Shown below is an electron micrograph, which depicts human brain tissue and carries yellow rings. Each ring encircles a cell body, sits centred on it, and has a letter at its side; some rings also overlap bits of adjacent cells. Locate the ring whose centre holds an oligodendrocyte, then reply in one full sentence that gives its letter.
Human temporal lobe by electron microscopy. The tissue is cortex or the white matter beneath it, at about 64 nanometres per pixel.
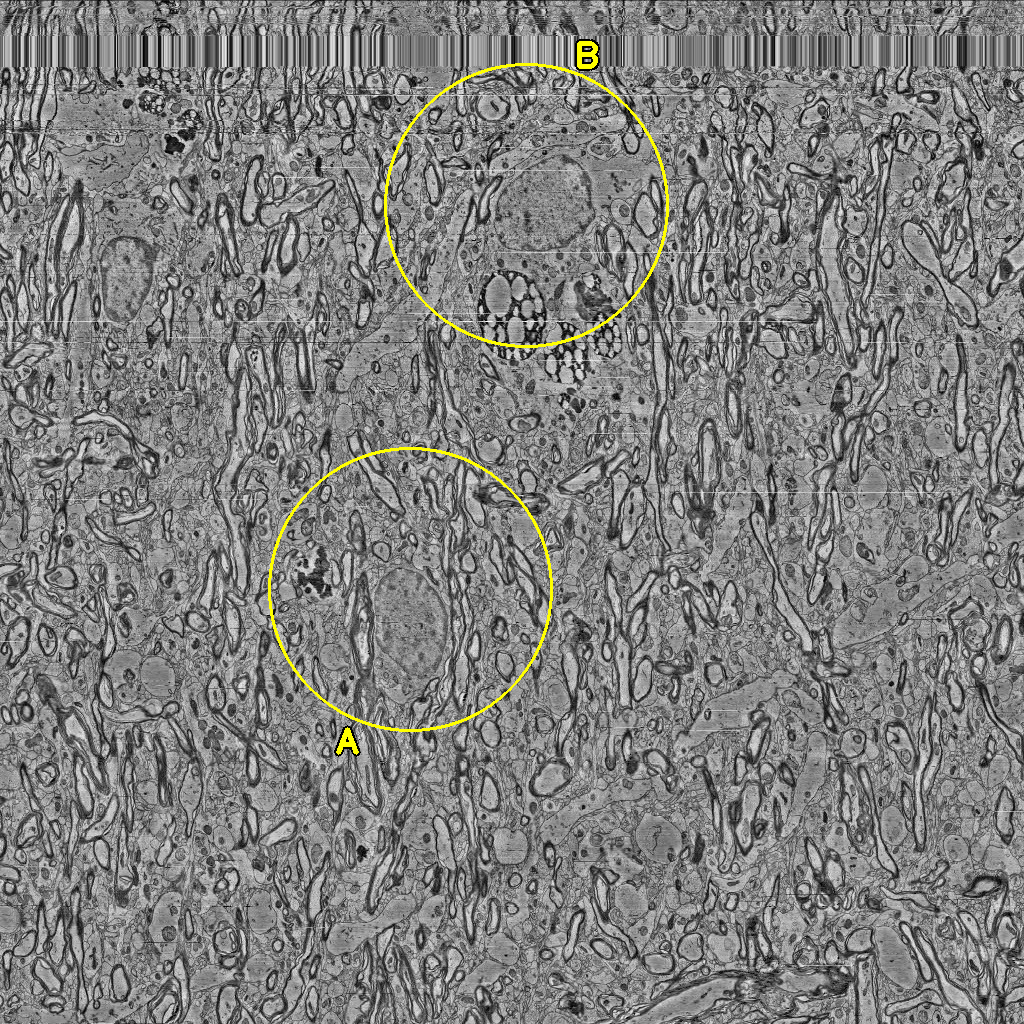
The ring centred on the cell asked for is the one marked A.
